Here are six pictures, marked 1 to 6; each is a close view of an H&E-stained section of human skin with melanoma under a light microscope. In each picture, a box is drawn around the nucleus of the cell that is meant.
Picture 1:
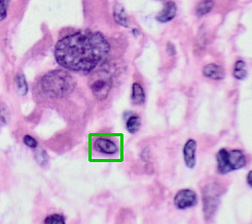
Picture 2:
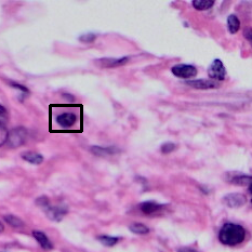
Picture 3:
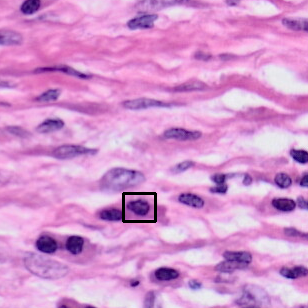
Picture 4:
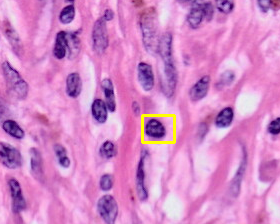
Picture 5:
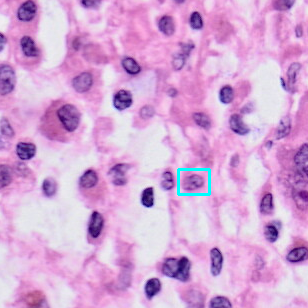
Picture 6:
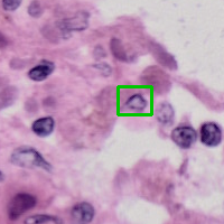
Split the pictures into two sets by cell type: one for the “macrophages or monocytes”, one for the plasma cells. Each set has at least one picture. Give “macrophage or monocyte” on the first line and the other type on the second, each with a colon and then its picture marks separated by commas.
macrophage or monocyte: 1, 5, 6
plasma cell: 2, 3, 4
